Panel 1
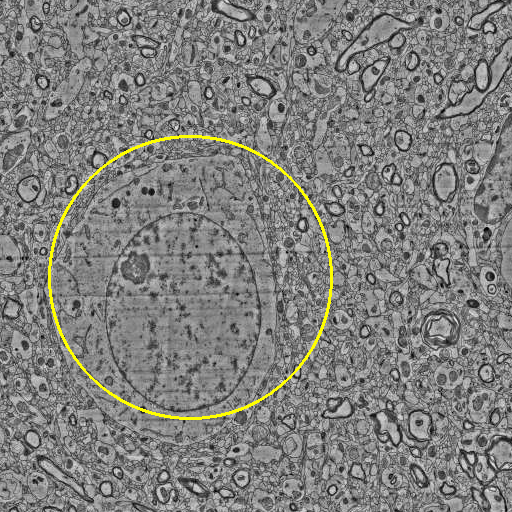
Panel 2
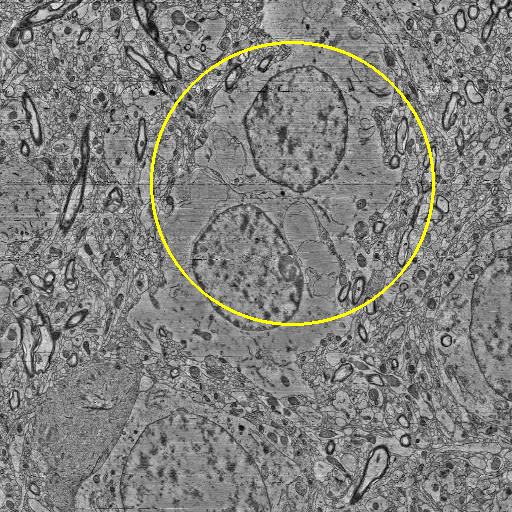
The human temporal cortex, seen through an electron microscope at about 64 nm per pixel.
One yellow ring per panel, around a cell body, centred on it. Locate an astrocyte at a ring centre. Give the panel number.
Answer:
2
